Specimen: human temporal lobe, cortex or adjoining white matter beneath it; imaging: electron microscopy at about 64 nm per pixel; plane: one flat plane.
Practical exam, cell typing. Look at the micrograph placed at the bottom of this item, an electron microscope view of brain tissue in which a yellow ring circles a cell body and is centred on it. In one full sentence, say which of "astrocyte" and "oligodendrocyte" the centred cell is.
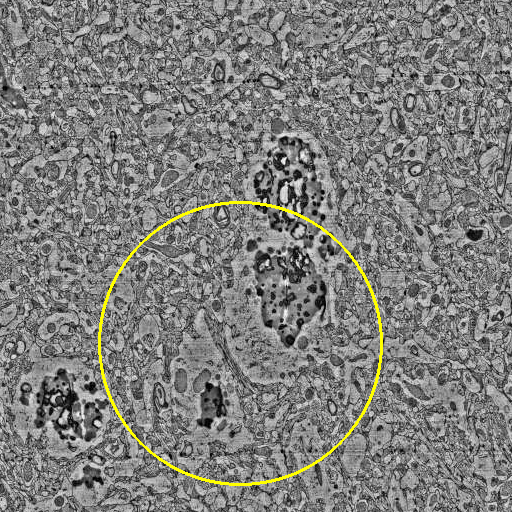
Given the options, an astrocyte fits the cell whose body the yellow ring is centred on.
